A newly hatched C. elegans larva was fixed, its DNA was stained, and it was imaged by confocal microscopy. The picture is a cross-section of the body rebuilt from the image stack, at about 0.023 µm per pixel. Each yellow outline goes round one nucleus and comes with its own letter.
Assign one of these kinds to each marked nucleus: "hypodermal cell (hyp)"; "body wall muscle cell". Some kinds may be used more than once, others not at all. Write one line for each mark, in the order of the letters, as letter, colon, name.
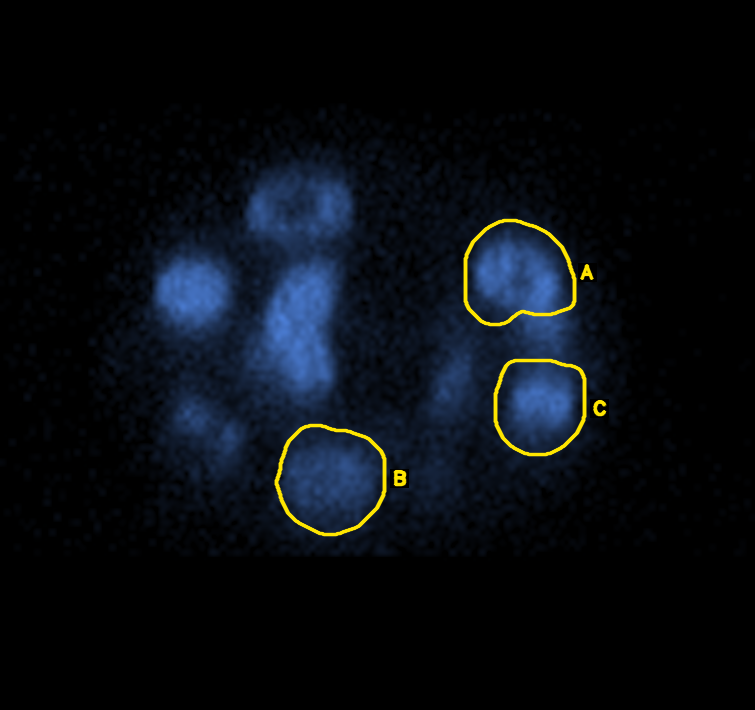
A: body wall muscle cell
B: hypodermal cell (hyp)
C: body wall muscle cell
